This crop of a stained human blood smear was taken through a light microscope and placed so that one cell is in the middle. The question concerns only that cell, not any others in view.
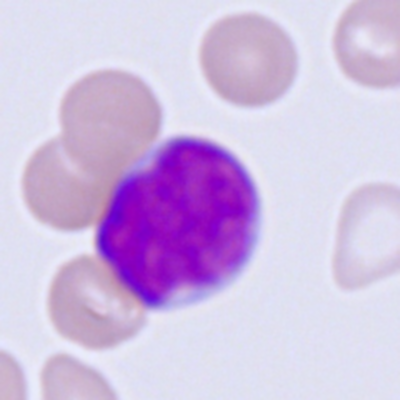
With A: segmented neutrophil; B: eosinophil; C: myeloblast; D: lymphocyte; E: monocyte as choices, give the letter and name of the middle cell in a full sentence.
Of the choices given, option C is right, as the central cell is a myeloblast.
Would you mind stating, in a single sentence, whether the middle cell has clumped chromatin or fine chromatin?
This nucleus has coarsely clumped chromatin.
